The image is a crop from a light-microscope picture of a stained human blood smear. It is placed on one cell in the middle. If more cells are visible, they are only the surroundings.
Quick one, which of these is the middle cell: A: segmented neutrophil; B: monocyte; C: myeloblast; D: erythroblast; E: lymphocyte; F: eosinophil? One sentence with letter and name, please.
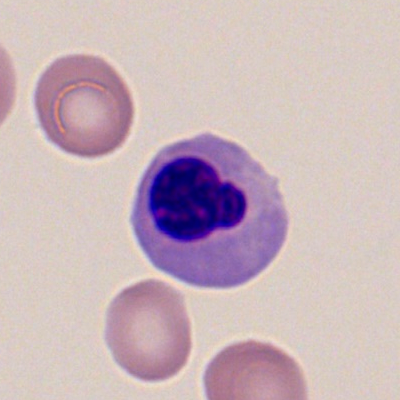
What option D states is correct, the central cell being an erythroblast.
